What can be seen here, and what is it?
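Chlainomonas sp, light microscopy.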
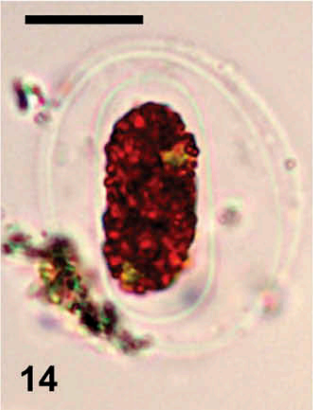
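Here an oblong flagellate cell, packed with dark red granules, lies inside a much larger clear envelope. The envelope shows several concentric transparent wall layers with empty space between them and the red cell. Among the red granules a few yellow-green spots mark chloroplasts near the cell surface. Some dark debris lies outside the envelope on the lower left.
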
